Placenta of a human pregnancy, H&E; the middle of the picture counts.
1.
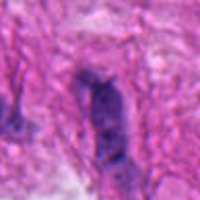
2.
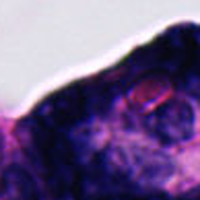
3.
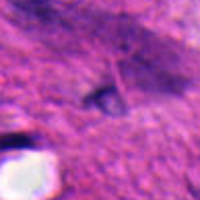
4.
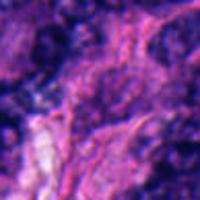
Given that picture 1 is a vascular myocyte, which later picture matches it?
3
